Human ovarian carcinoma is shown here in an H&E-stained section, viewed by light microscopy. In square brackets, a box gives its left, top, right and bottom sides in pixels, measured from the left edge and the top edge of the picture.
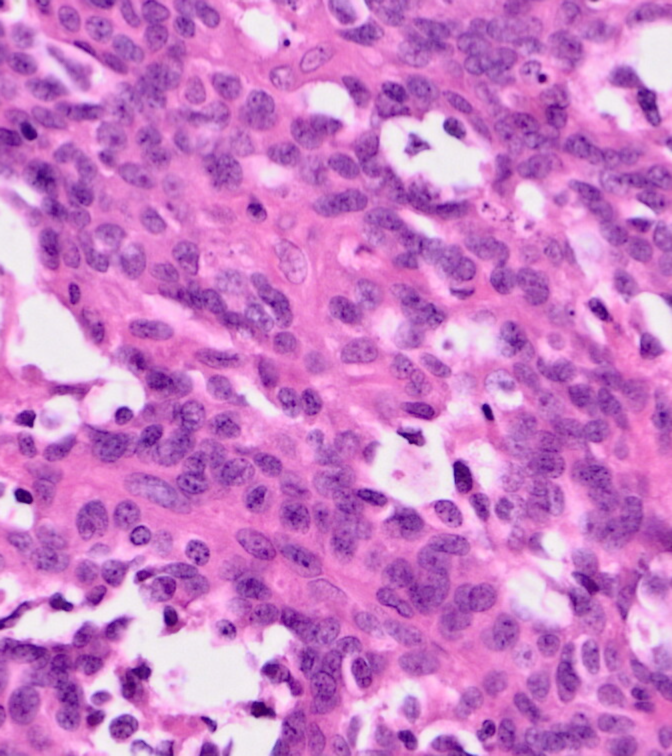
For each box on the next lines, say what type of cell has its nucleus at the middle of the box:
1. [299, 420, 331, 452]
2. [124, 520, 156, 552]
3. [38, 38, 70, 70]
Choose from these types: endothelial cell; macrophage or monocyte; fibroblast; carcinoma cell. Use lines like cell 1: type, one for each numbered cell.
cell 1: macrophage or monocyte
cell 2: macrophage or monocyte
cell 3: carcinoma cell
